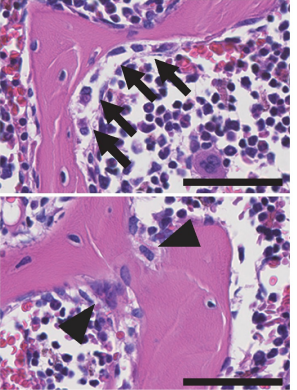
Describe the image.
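This is bone with its marrow, shown as smooth pink bone trabeculae bordered by densely packed marrow cells. Small cells with dark purple nuclei lie in lacunae within the pink bone. Along the bone surface in the upper image, a row of small cells with single dark nuclei lines the trabecula. In the lower image, larger cells with purple cytoplasm sit directly on the bone surface, while the marrow around them holds many round cells with dark nuclei and red blood cells.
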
